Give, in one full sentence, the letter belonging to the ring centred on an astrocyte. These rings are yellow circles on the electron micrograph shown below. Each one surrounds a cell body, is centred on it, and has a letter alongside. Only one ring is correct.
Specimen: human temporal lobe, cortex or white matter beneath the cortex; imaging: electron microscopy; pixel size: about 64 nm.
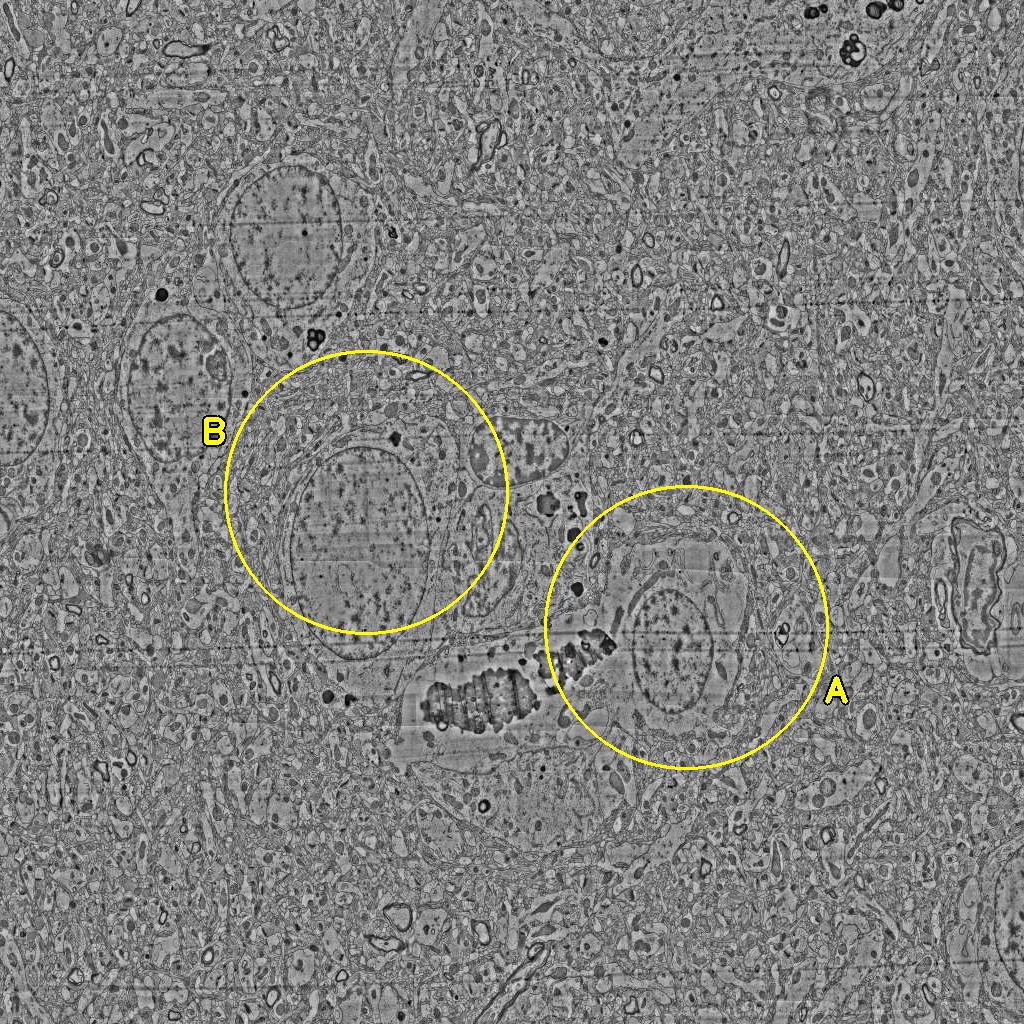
My answer is A, the ring centred on the cell asked for.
